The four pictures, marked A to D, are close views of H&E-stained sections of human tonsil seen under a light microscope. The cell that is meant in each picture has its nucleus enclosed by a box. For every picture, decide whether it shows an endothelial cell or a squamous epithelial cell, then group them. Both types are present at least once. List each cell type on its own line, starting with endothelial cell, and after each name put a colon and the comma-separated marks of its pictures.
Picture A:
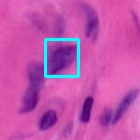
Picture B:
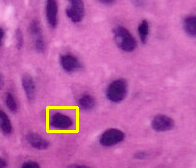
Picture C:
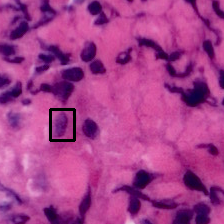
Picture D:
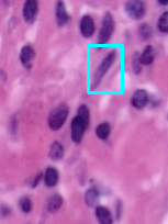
endothelial cell: A, C, D
squamous epithelial cell: B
